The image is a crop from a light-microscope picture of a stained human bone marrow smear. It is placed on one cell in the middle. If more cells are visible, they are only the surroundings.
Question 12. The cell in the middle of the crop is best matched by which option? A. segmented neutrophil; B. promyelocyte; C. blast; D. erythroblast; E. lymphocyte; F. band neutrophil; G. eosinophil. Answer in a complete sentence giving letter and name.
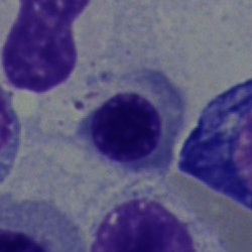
Option D is the keyed answer: the cell in the middle is an erythroblast.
